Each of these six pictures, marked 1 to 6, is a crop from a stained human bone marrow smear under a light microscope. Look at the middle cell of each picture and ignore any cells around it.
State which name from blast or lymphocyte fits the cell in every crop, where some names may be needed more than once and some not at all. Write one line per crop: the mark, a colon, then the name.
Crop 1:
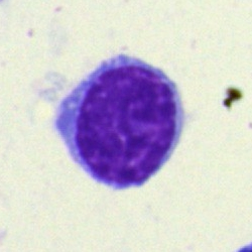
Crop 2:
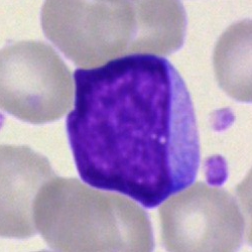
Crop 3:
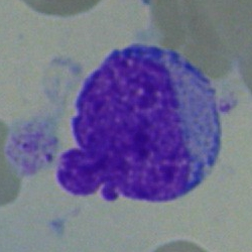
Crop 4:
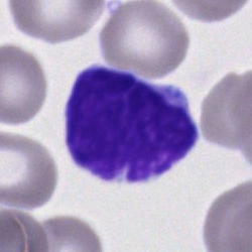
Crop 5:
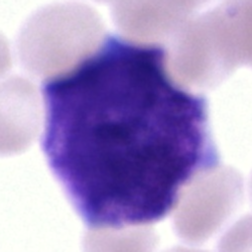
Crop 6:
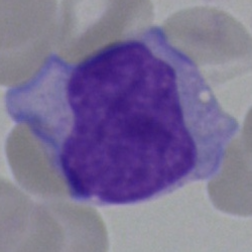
1: lymphocyte
2: blast
3: blast
4: lymphocyte
5: blast
6: blast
